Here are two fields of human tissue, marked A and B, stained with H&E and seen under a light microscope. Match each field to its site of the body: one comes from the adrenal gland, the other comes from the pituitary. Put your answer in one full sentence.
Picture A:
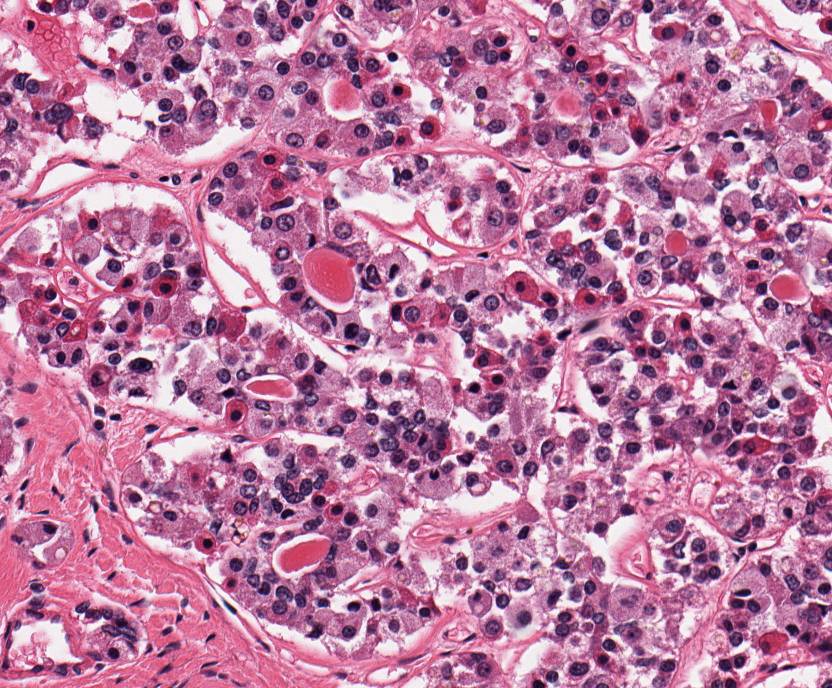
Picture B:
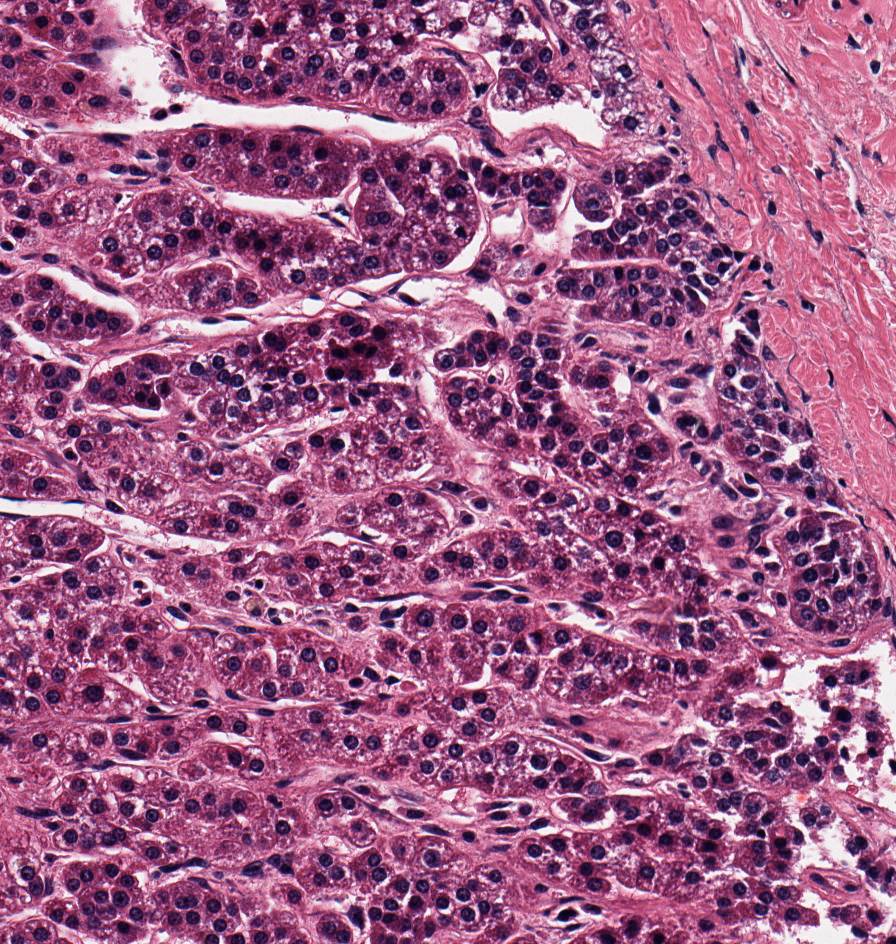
Picture A comes from the pituitary; picture B comes from the adrenal gland.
